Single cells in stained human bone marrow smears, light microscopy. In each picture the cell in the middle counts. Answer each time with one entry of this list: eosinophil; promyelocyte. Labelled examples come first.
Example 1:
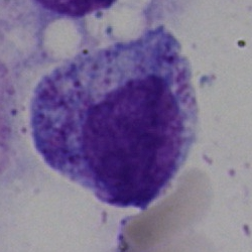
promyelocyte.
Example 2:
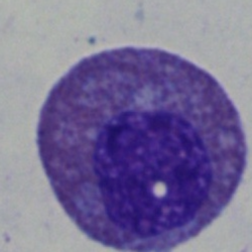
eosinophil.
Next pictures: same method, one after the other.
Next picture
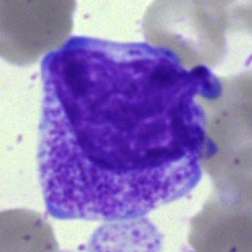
promyelocyte.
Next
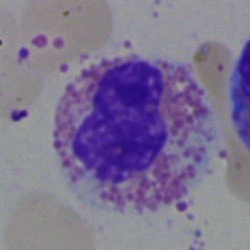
eosinophil.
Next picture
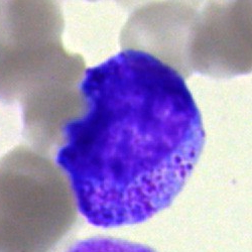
promyelocyte.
